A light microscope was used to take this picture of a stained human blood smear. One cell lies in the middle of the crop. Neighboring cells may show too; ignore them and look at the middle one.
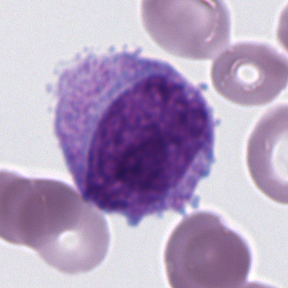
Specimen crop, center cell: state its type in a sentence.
At the crop's centre, the cell is an atypical promyelocyte.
